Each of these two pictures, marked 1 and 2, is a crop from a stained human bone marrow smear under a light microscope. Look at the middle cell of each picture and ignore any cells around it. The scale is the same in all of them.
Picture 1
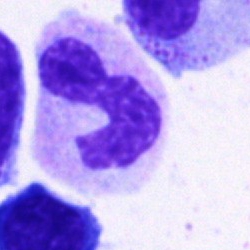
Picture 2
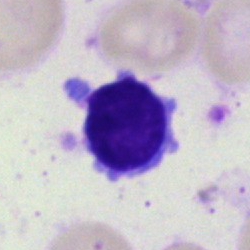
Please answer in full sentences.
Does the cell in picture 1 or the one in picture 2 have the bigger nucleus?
The nucleus in picture 1 is larger, with about 1.5 times the area of the one in picture 2.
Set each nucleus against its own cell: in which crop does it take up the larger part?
In picture 2 the nucleus takes up the larger part of its cell.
